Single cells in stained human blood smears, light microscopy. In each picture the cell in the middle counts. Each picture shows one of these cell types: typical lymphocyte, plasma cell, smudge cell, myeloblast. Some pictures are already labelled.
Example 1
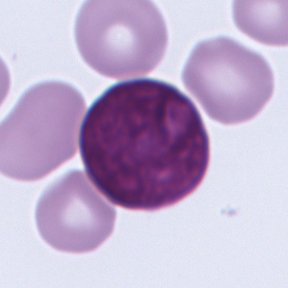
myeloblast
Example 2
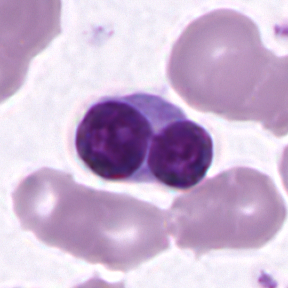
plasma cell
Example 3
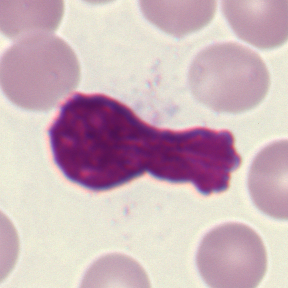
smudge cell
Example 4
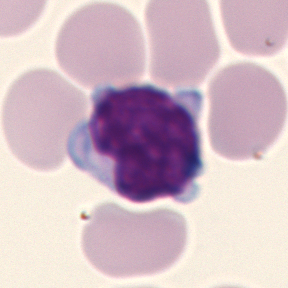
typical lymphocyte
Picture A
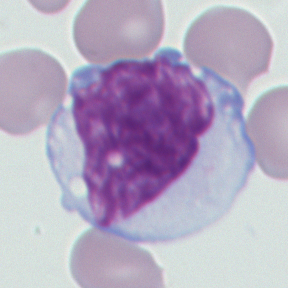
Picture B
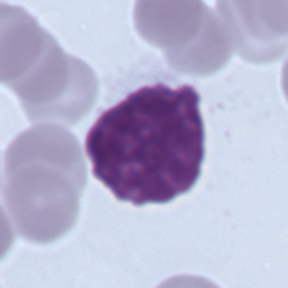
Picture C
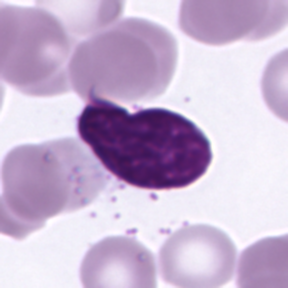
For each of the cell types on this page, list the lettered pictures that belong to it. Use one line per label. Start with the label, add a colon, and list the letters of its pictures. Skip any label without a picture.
smudge cell: B, C
myeloblast: A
